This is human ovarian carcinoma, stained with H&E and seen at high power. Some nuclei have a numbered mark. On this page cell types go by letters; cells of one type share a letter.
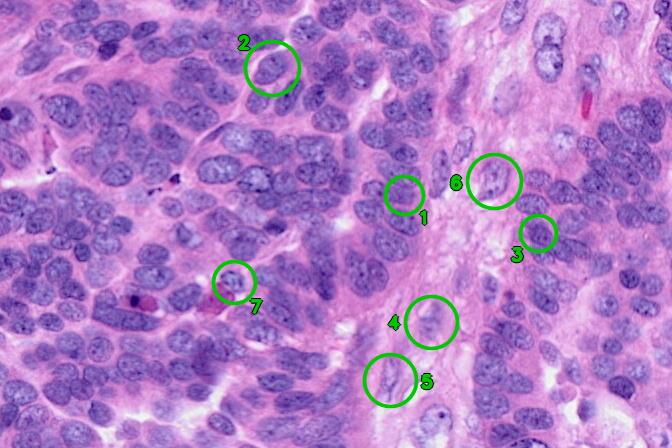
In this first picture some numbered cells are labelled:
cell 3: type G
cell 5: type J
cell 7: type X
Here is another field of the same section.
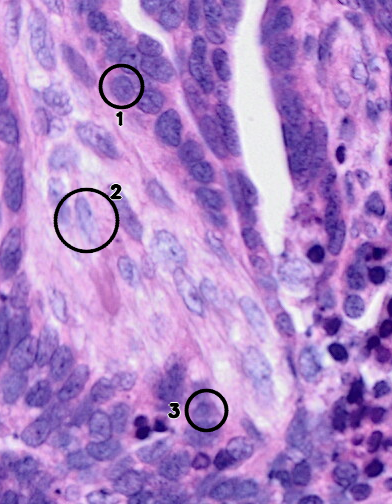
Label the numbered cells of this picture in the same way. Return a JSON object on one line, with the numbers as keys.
{"1": "type G", "2": "type J", "3": "type G"}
